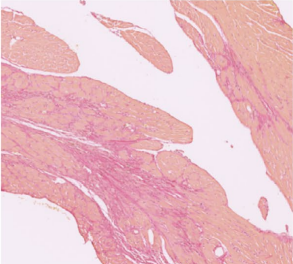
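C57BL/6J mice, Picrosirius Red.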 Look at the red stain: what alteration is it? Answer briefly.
Interstitial fibrosis.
